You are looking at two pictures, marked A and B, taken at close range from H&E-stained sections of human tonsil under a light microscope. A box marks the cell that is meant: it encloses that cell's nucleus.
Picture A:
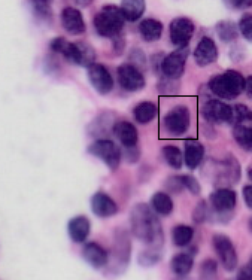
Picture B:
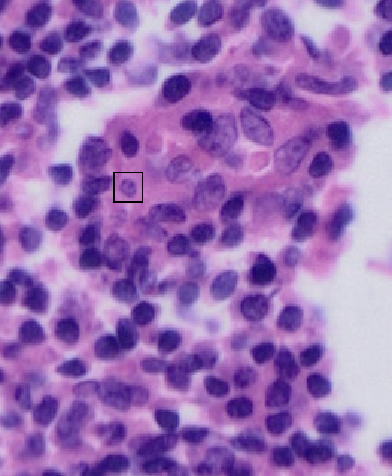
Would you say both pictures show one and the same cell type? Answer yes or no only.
no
